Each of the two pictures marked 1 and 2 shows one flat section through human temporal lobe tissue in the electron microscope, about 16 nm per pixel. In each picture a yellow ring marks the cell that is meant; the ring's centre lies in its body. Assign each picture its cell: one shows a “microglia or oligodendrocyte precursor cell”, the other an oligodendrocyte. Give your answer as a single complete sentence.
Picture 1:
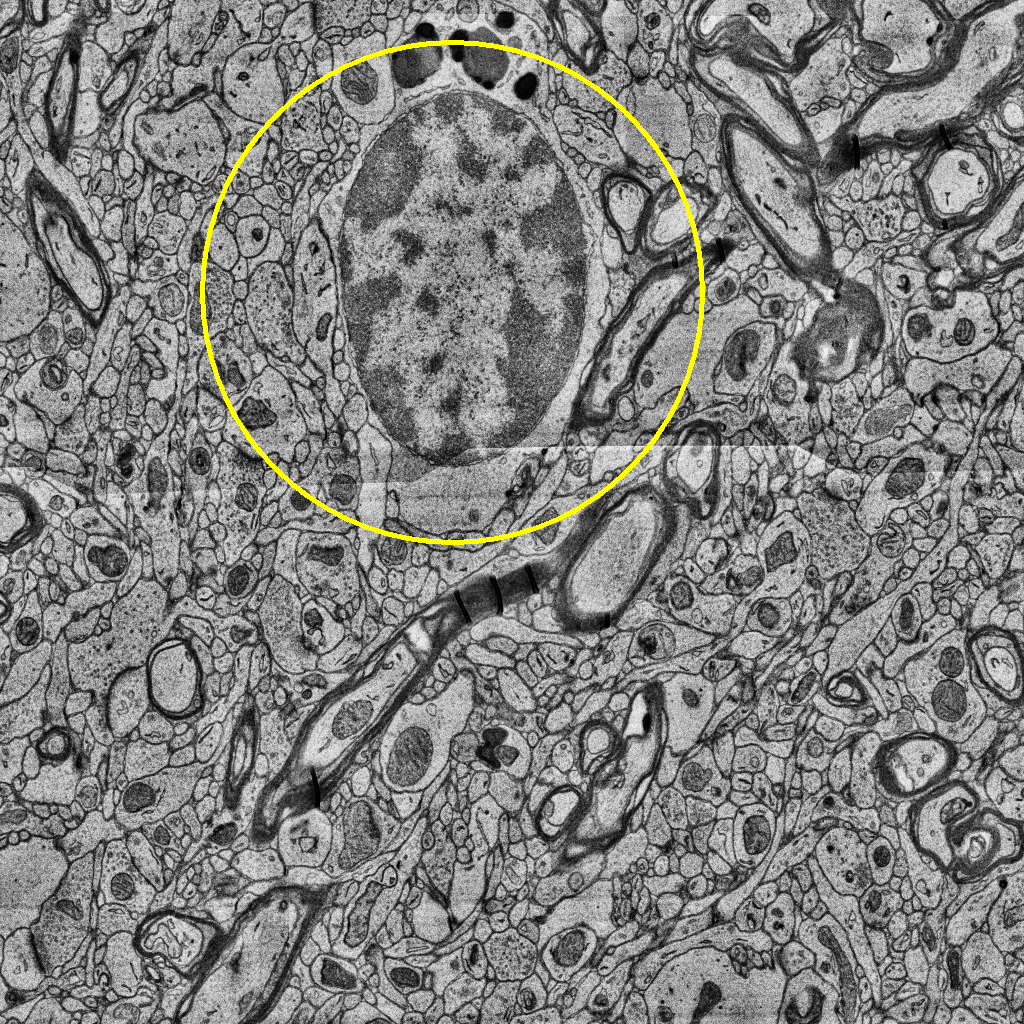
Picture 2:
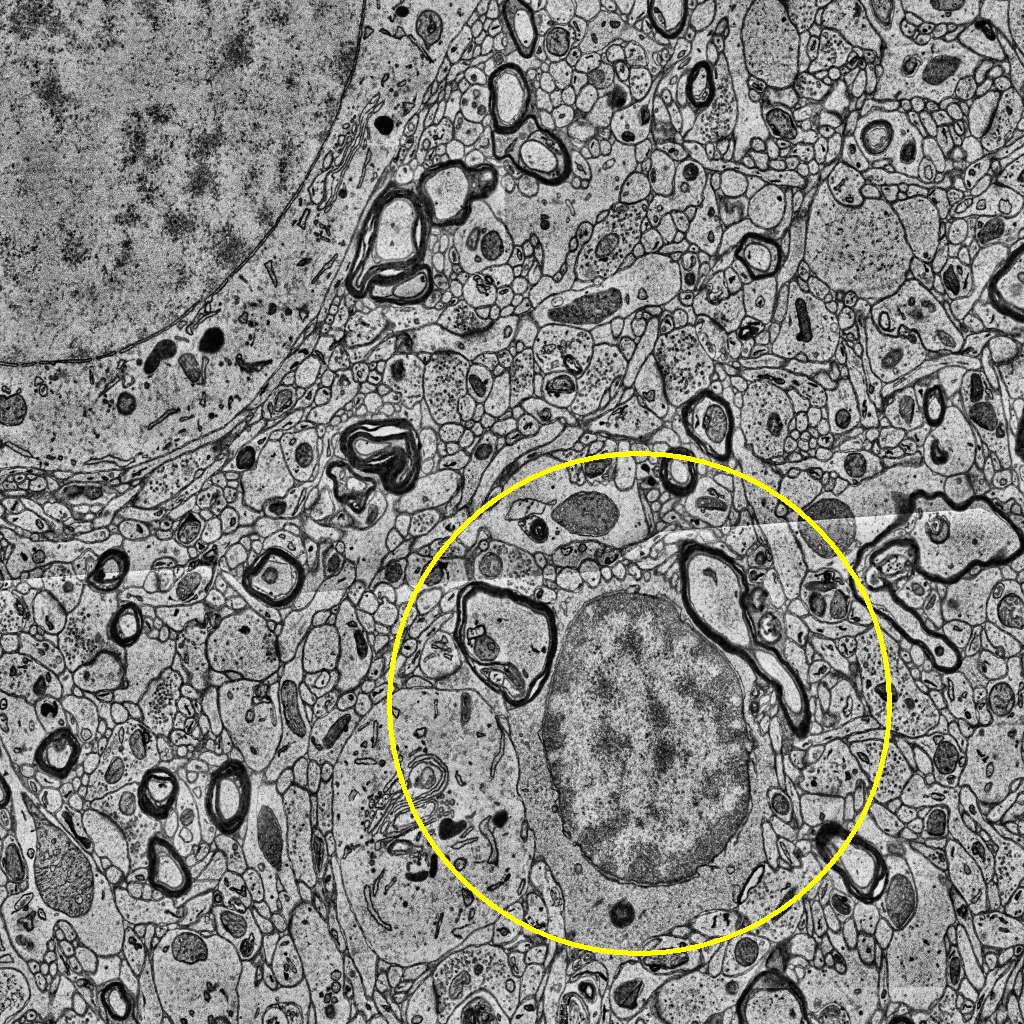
Picture 1 shows a “microglia or oligodendrocyte precursor cell” and picture 2 shows an oligodendrocyte.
